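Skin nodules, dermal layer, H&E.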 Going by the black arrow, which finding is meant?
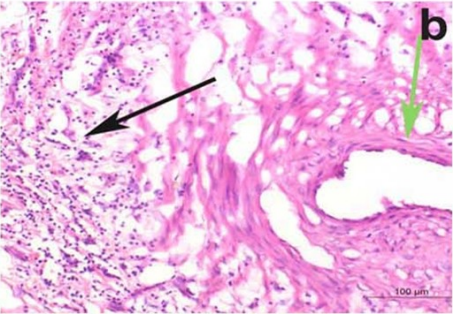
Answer: Massive leucocytic infiltrations.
